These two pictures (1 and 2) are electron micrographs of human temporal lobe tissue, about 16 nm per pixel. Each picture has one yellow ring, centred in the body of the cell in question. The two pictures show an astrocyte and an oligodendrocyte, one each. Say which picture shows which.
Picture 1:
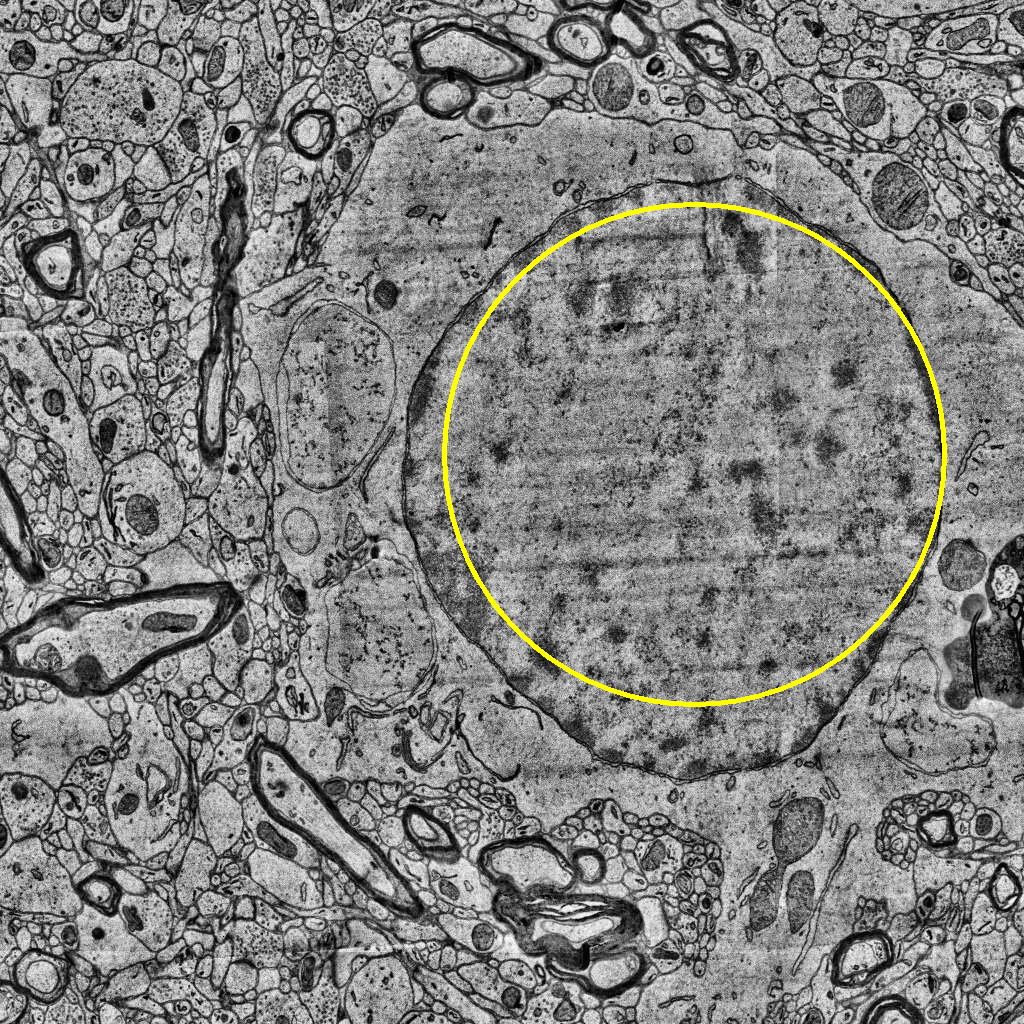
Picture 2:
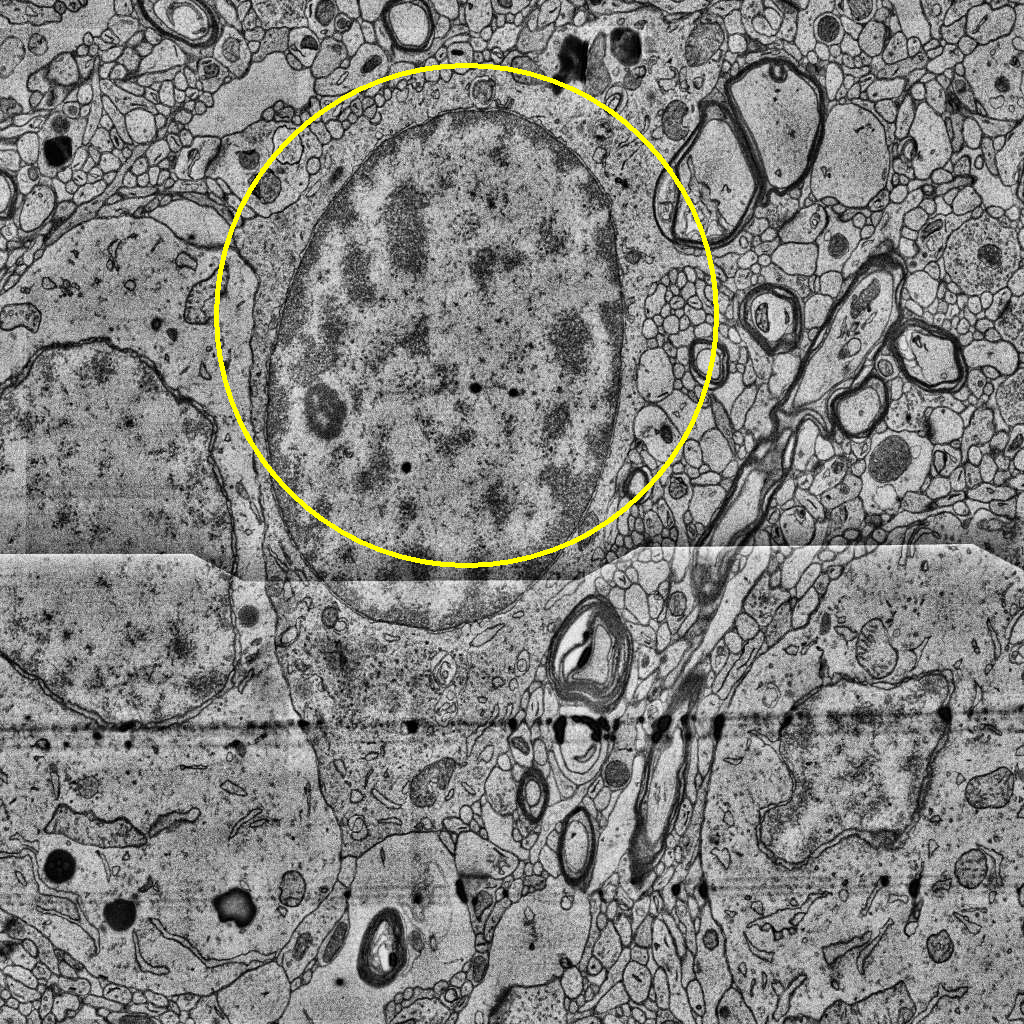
Picture 1 is of an astrocyte, and picture 2 is of an oligodendrocyte.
